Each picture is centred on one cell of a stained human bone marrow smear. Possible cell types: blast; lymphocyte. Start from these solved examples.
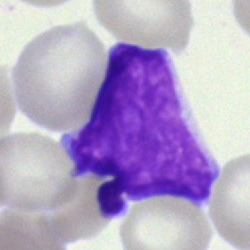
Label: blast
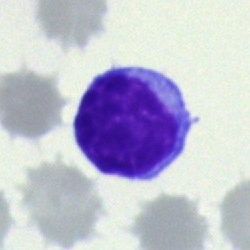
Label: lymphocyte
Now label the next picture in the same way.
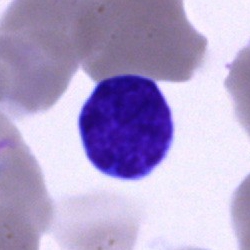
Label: lymphocyte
